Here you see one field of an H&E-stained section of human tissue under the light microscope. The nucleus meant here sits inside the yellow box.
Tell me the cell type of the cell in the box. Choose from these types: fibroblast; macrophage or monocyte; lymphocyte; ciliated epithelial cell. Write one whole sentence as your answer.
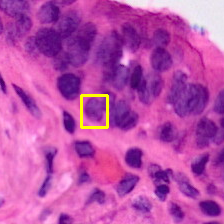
Histopathologically, the cell in the box is a ciliated epithelial cell.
